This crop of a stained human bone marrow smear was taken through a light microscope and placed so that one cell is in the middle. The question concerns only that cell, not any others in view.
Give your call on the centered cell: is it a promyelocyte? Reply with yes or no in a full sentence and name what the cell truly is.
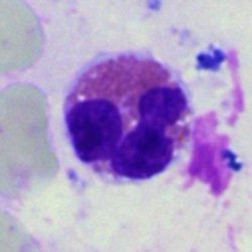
No, the label for the central cell is an eosinophil, not a promyelocyte.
